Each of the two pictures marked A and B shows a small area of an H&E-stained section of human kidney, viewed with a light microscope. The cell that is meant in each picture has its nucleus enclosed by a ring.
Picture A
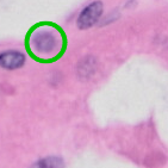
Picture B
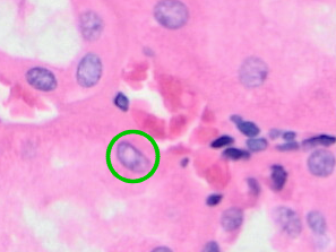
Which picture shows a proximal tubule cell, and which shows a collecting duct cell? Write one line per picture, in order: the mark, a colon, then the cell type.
A: collecting duct cell
B: proximal tubule cell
